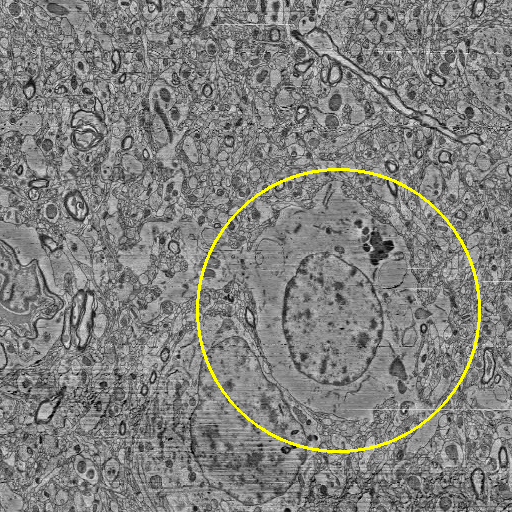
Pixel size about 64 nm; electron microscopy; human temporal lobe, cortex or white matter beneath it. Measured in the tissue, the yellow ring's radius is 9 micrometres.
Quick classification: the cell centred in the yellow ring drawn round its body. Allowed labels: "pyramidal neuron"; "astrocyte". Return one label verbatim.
astrocyte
